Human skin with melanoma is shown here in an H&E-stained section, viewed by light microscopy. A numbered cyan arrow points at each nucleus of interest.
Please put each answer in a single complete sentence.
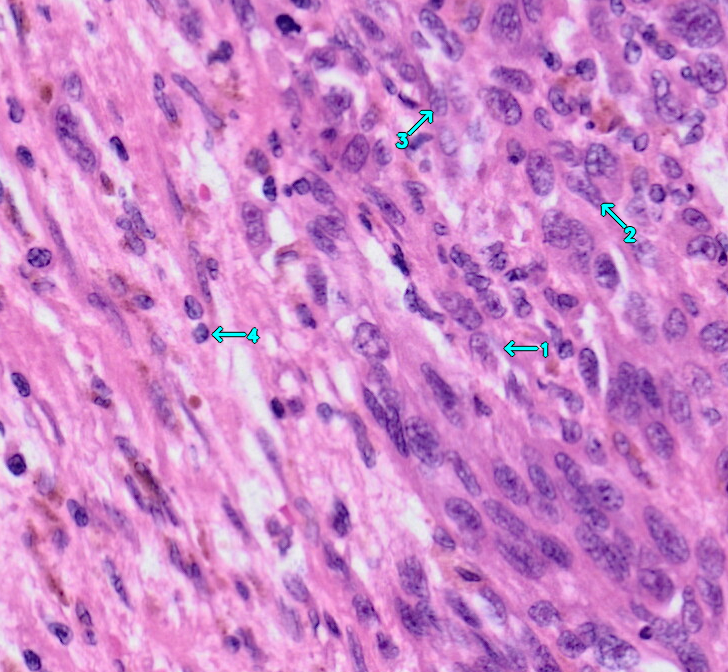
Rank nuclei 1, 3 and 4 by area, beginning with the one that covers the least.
Smallest first, the nuclei run 4, 3, 1.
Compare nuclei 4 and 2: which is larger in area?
Of the two, number 2 is bigger and takes up about 2 times the area of number 4.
